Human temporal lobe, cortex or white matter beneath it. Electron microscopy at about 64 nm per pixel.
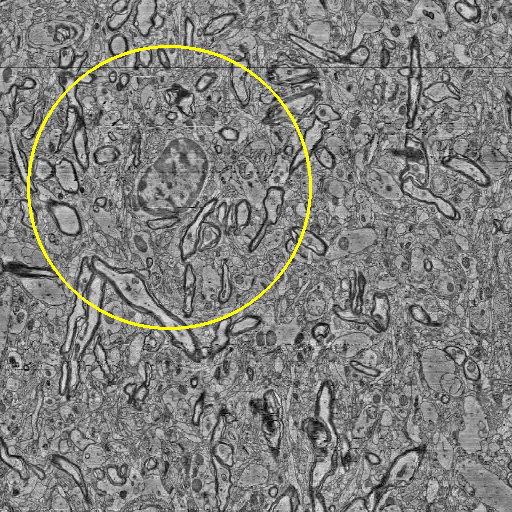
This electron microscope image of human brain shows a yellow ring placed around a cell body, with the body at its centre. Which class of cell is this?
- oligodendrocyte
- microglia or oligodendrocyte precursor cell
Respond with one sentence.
The cell body at the ring's centre is a microglial cell or oligodendrocyte precursor cell.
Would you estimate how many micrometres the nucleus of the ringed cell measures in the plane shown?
The ringed cell's nucleus is about 5 micrometres long and 4 micrometres wide in this plane.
